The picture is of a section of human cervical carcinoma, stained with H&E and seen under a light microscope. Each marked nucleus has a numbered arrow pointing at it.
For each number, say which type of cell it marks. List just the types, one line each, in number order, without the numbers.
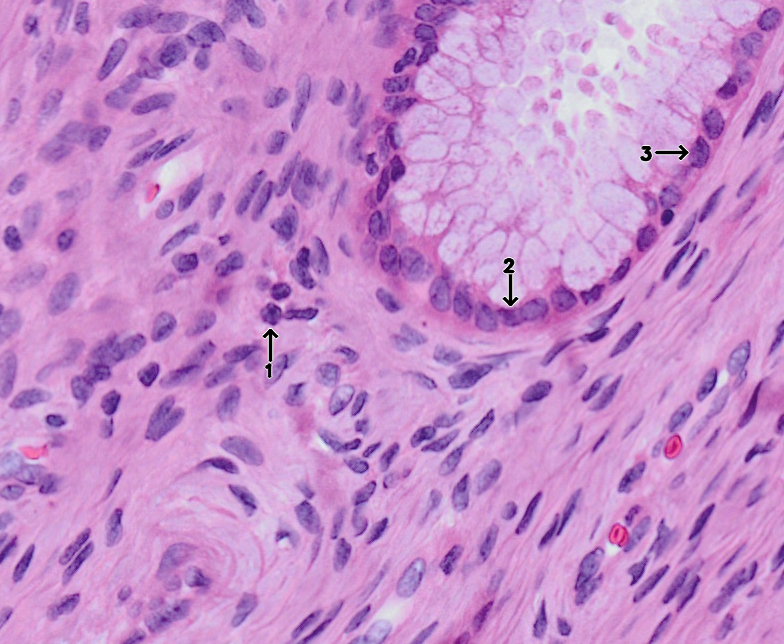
lymphocyte
secretory epithelial cell
secretory epithelial cell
